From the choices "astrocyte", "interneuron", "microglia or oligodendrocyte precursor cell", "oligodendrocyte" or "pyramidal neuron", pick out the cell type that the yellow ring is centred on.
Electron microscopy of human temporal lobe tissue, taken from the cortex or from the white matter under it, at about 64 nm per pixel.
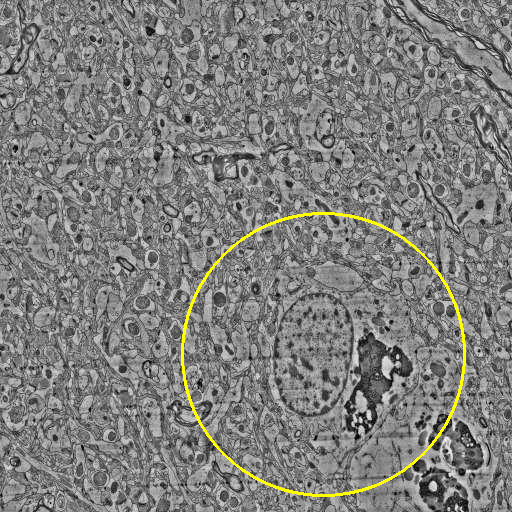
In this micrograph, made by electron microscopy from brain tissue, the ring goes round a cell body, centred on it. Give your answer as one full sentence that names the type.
The yellow ring is centred on an astrocyte, whose cell body it encircles in the picture.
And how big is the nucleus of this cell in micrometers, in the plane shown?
About 8 by 5 micrometers; the nucleus is clearly longer than it is wide in this plane.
